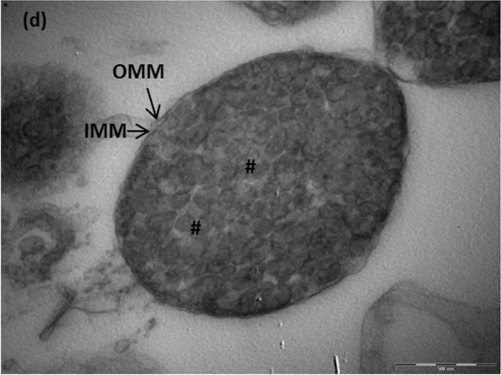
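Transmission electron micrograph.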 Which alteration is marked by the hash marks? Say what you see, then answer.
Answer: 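The interior of the oval organelle is filled with many small round compartments. No long parallel folds are seen inside it. On this evidence: change in cristae structure.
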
